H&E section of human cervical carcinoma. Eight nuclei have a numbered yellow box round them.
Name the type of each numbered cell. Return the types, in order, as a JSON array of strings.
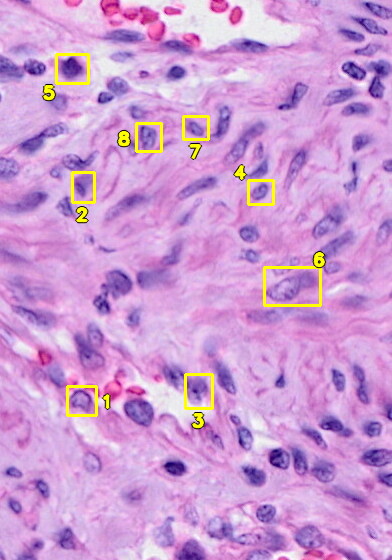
["endothelial cell", "smooth muscle cell", "endothelial cell", "smooth muscle cell", "lymphocyte", "smooth muscle cell", "smooth muscle cell", "smooth muscle cell"]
